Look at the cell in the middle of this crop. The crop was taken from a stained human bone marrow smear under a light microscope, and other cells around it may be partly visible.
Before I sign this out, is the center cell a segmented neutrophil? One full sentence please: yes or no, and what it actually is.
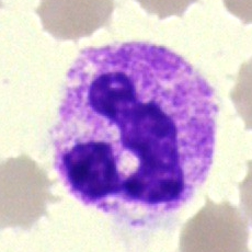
Yes, the cell found in the middle is a segmented neutrophil.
